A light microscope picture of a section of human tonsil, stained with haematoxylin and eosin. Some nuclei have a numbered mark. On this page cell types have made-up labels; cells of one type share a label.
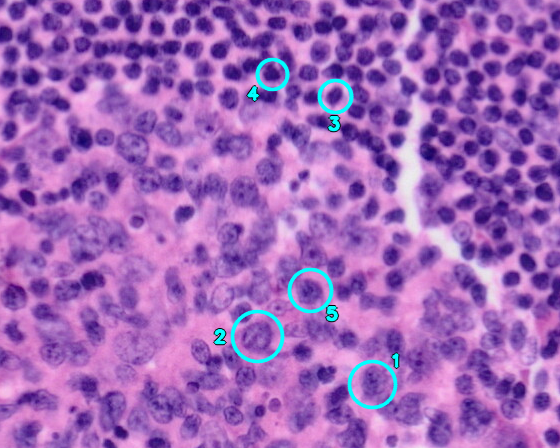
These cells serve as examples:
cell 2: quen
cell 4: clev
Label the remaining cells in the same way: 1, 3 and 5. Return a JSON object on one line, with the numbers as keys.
{"1": "quen", "3": "clev", "5": "quen"}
